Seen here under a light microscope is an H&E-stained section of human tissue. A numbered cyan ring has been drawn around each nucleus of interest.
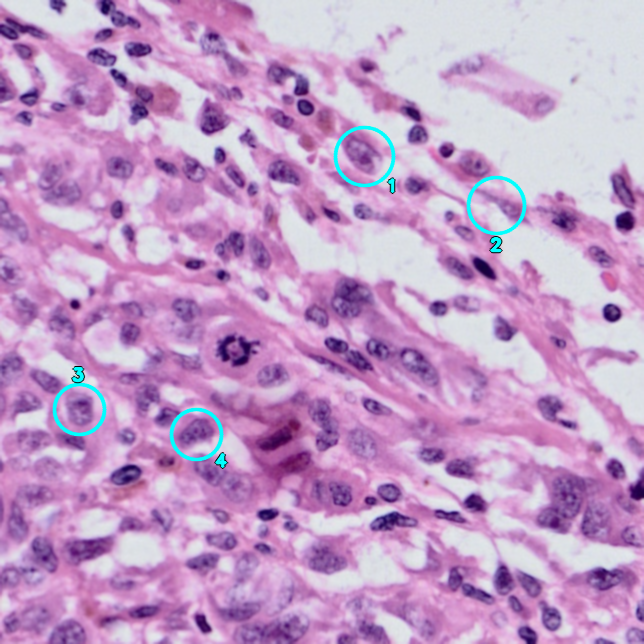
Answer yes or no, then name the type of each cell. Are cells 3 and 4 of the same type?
Yes, both of cells 3 and 4 are melanoma cells.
